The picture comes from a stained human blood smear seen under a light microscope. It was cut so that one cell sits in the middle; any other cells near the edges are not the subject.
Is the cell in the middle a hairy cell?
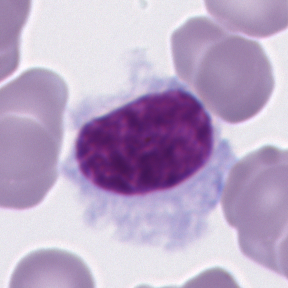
yes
